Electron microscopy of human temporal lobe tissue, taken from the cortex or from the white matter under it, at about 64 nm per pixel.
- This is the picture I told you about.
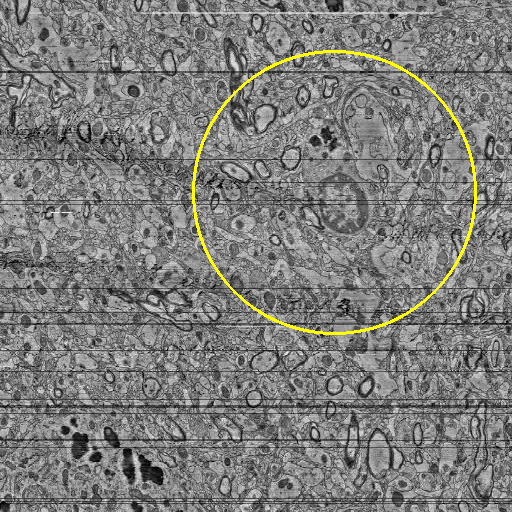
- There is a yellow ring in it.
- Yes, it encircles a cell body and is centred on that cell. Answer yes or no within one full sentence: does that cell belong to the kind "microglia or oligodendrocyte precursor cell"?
No, the cell on which the yellow ring is centred belongs to a different kind.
